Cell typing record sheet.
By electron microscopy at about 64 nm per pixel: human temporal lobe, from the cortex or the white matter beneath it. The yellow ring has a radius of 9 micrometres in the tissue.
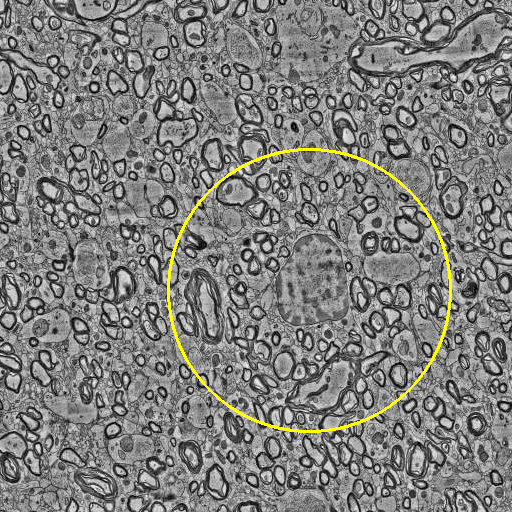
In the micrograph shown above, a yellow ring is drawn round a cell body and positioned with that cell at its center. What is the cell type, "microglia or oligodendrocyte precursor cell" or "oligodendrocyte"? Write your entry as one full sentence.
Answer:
The cell body at the center of the ring belongs to a microglial cell or oligodendrocyte precursor cell.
